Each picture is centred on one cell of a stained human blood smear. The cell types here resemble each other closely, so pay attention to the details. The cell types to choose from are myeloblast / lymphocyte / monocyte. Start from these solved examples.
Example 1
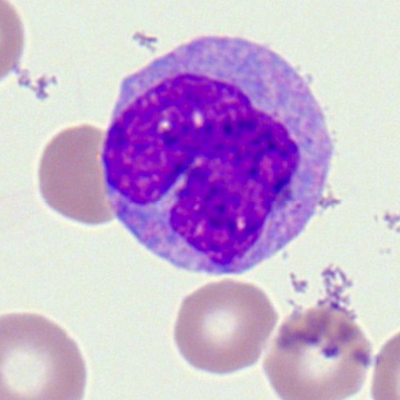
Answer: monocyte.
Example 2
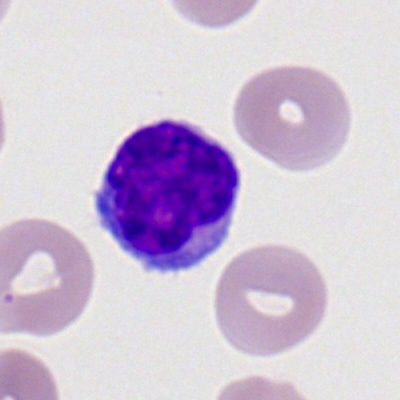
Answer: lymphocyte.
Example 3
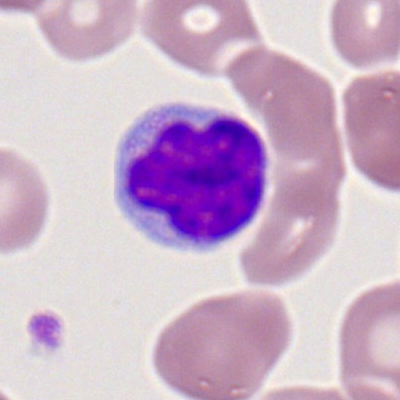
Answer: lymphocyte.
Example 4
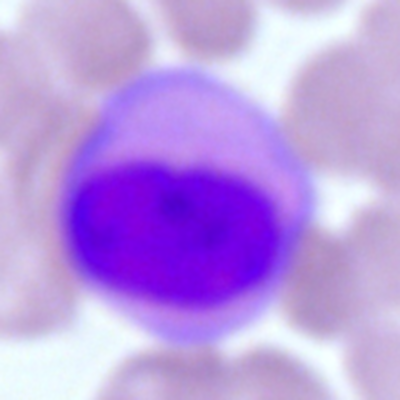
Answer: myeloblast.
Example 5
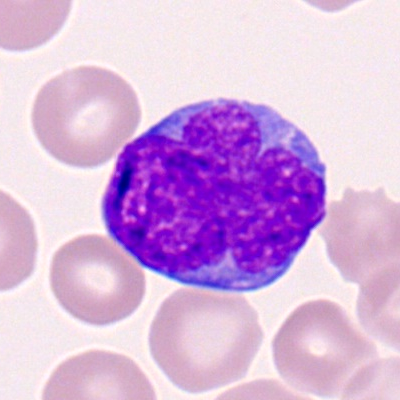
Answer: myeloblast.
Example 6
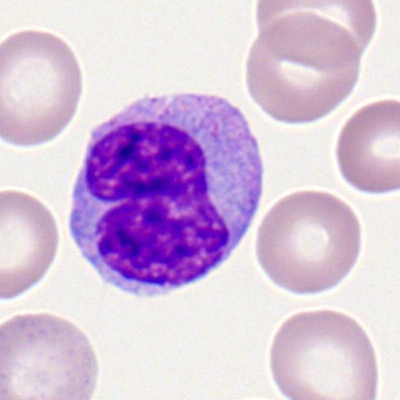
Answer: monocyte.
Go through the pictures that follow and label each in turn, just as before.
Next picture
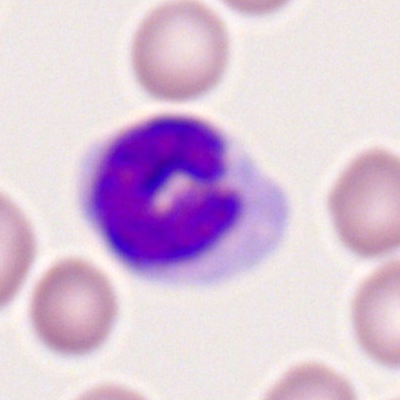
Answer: monocyte.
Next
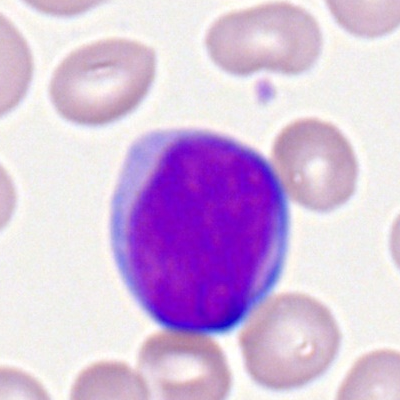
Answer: myeloblast.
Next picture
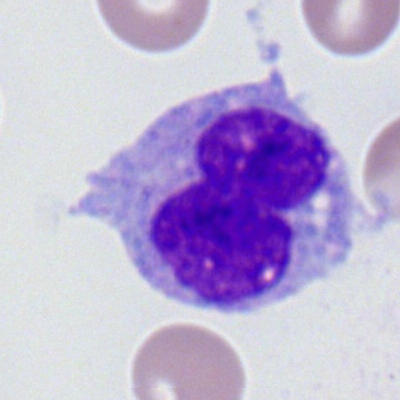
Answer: monocyte.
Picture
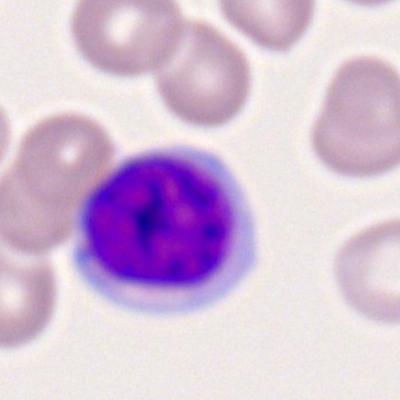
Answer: lymphocyte.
